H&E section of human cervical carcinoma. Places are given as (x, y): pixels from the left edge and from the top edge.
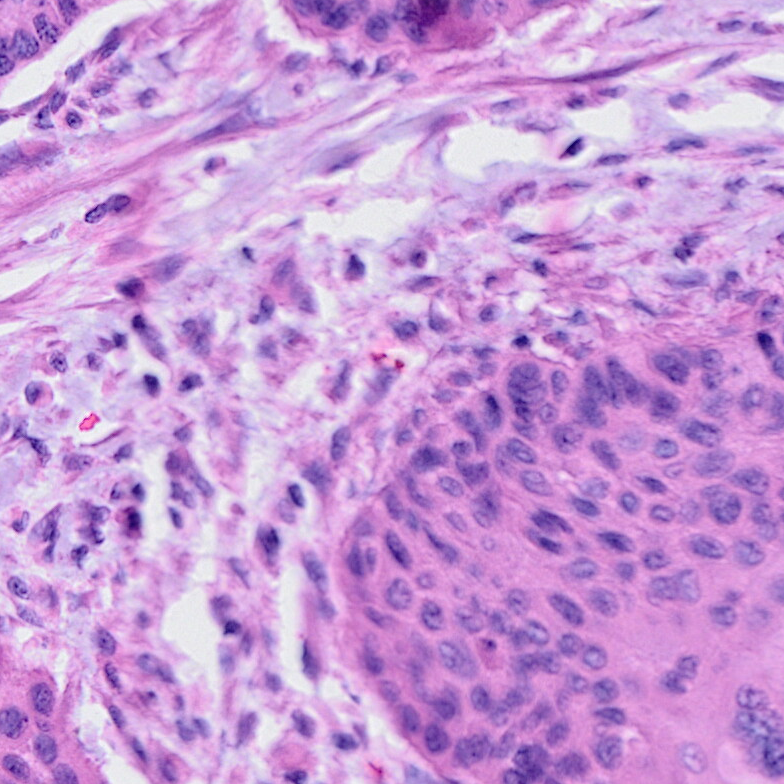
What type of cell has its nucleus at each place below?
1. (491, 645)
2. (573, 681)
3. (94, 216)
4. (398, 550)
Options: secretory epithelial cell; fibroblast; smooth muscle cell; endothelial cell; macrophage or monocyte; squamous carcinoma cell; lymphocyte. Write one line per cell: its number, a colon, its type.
1: squamous carcinoma cell
2: squamous carcinoma cell
3: lymphocyte
4: squamous carcinoma cell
